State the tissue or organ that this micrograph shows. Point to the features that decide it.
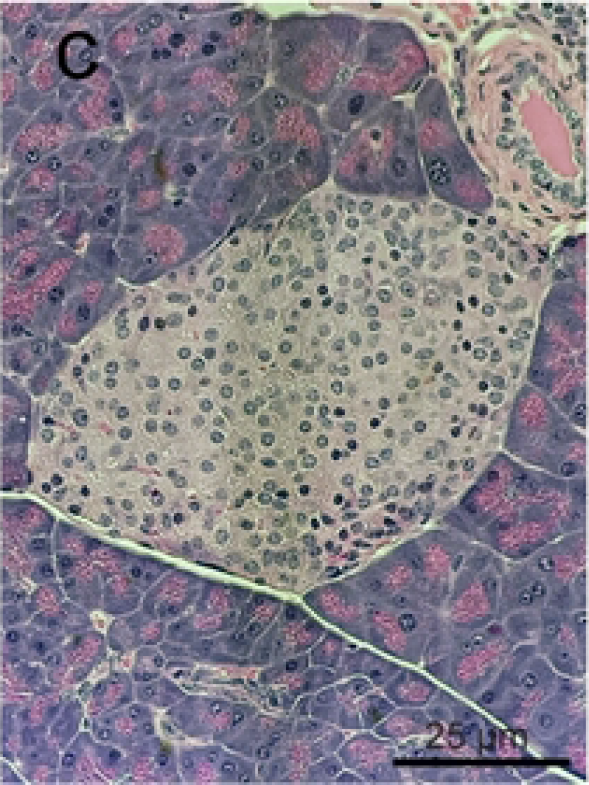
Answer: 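A large pale oval cluster of cells with round nuclei. Bordered by darker acinar tissue with pink granules. On this evidence: islet.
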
